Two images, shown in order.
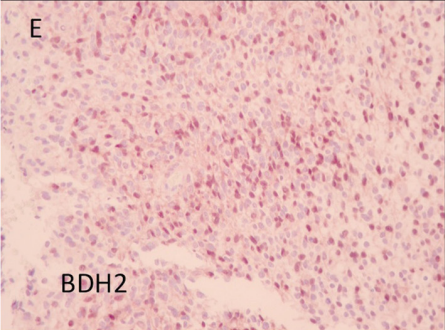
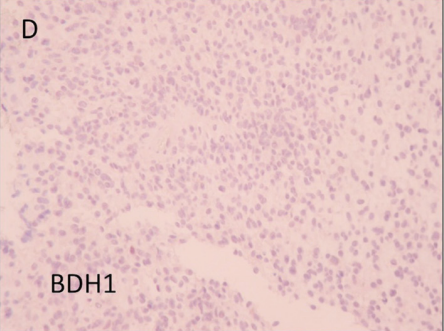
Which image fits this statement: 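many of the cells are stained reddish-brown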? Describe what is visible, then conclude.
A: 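First image: many nuclei throughout the field are reddish-brown. Second image: nearly all nuclei are pale blue with no brown stain. So: the first image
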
